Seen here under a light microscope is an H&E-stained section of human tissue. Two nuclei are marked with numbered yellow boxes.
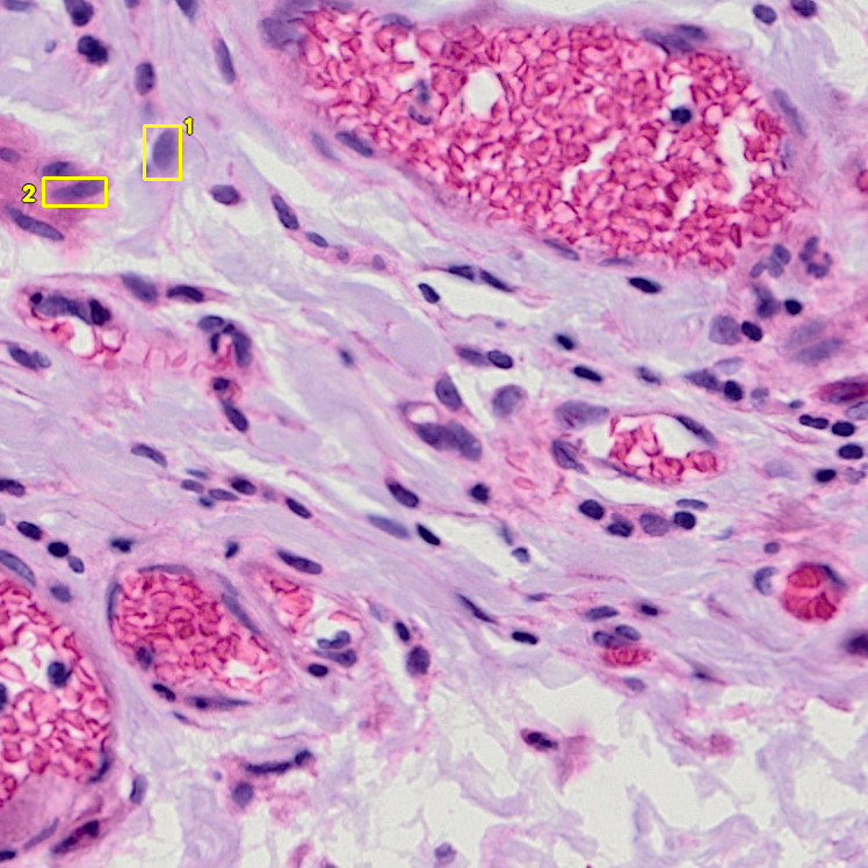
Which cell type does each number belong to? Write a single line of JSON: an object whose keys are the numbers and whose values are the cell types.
{"1": "fibroblast", "2": "smooth muscle cell"}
